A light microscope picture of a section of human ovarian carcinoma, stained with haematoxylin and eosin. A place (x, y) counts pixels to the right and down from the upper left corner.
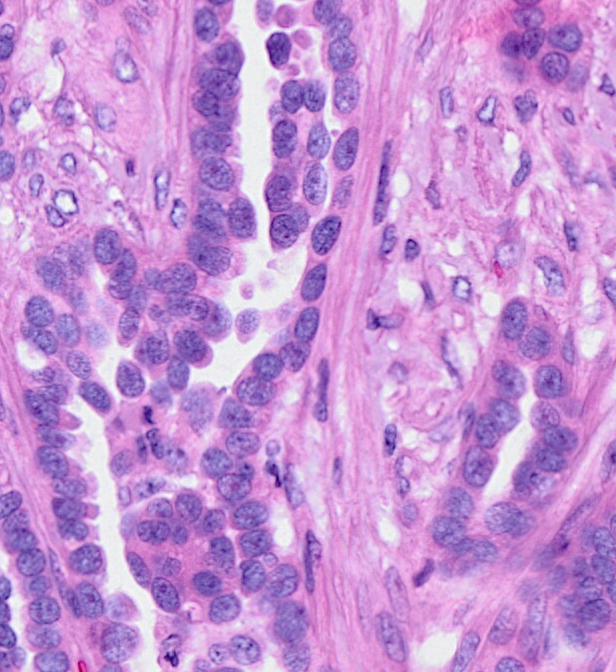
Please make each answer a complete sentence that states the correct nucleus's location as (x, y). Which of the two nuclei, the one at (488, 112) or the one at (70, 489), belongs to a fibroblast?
Of these two nuclei, only the one at (488, 112) belongs to a fibroblast.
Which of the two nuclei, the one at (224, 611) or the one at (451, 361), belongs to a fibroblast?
Of the pair, the nucleus located at (451, 361) belongs to a fibroblast.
